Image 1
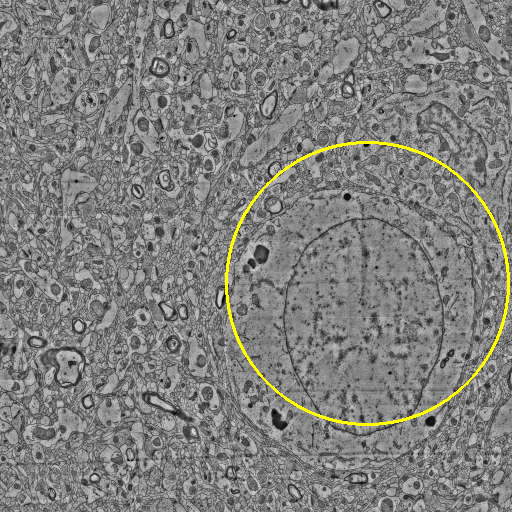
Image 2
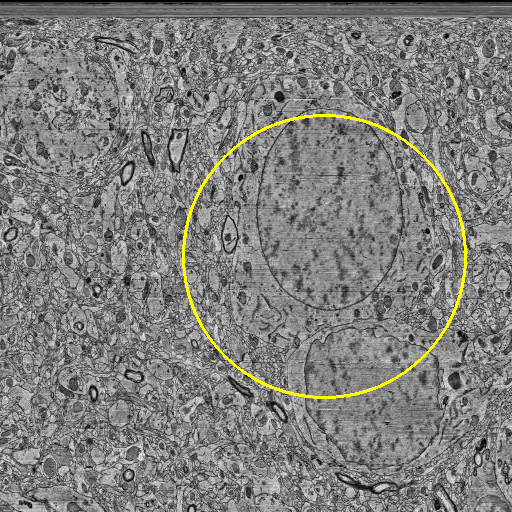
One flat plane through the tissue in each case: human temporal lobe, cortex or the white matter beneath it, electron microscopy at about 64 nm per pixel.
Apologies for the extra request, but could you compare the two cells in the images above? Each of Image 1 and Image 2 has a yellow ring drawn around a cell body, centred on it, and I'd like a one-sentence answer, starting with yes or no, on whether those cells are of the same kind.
Yes, both cells are of the same kind.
